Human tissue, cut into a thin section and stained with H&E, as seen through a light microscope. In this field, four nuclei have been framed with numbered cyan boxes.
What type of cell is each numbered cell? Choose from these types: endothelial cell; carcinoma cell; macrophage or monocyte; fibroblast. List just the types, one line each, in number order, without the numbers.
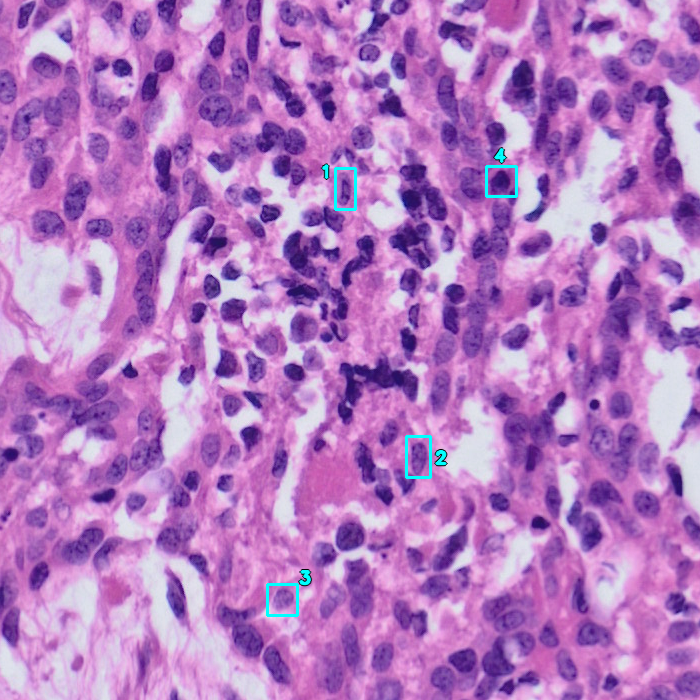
macrophage or monocyte
macrophage or monocyte
macrophage or monocyte
carcinoma cell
